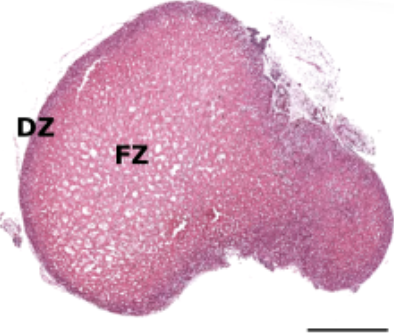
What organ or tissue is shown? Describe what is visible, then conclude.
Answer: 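A compact, encapsulated organ section stained pink and purple. A thin, more densely cellular outer rim surrounds a broad inner region of larger pale cells. On this evidence: adrenal gland.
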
